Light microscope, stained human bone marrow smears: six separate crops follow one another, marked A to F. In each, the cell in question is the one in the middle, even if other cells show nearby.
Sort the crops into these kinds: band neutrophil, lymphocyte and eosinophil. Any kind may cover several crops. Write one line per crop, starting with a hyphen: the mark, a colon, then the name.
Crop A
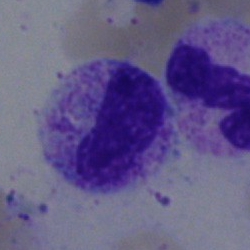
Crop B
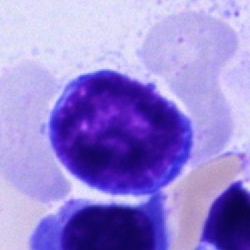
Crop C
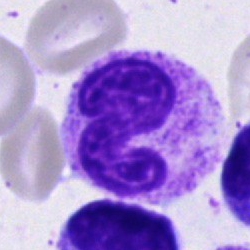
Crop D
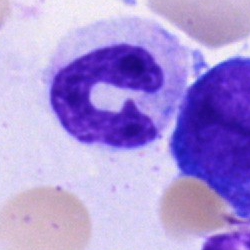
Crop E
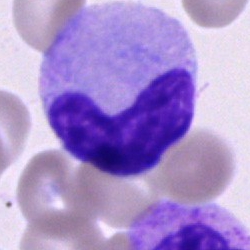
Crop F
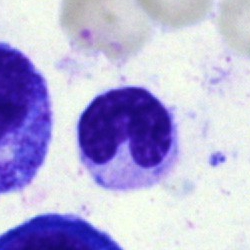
- A: band neutrophil
- B: lymphocyte
- C: band neutrophil
- D: band neutrophil
- E: band neutrophil
- F: band neutrophil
